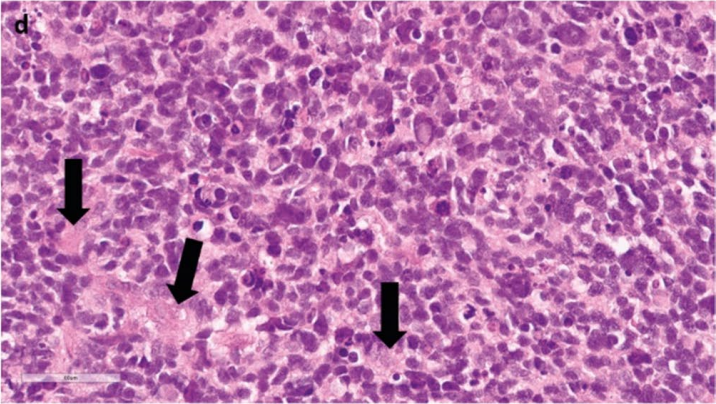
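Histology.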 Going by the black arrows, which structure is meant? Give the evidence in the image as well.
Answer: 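Rosettes. At the arrows, small pink fibrillary centres are free of nuclei. Dark nuclei are gathered around these pink centres.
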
